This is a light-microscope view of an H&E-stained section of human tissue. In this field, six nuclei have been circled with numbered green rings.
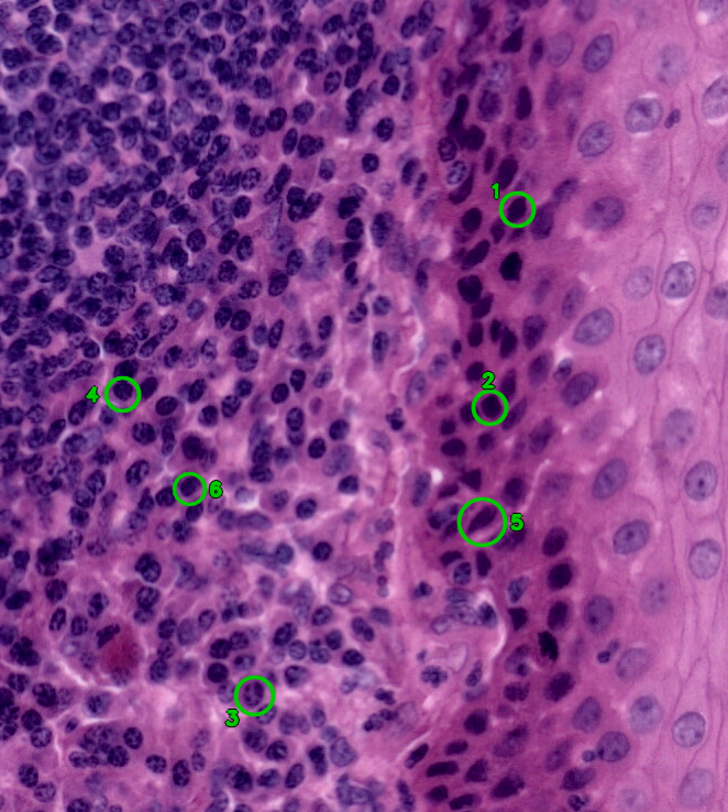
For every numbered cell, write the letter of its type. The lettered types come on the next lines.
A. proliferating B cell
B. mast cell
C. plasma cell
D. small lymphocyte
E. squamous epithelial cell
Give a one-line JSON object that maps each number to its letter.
{"1": "E", "2": "E", "3": "C", "4": "C", "5": "E", "6": "C"}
